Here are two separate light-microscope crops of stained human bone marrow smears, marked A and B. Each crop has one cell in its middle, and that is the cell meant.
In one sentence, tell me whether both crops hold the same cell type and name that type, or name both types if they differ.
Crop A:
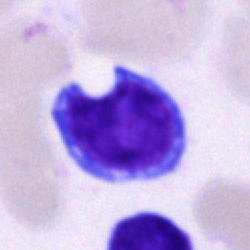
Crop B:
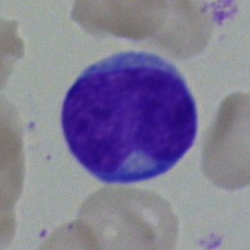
No, within crop A lies a lymphocyte, and within crop B lies a blast.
